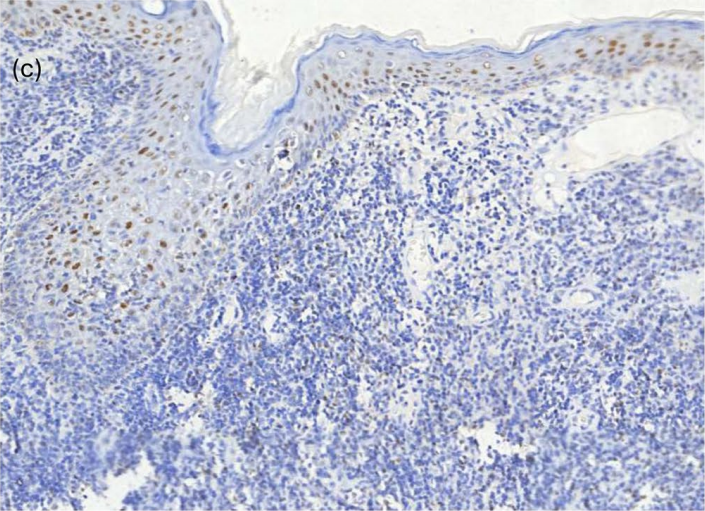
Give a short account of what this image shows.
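This is skin with a stratified squamous epithelium across the top and a dense lymphoid infiltrate filling the tissue beneath it. Within the epithelium, scattered keratinocyte nuclei are stained brown, mostly in the lower and middle layers. Small vessel spaces appear as clear gaps within the infiltrate. The contrast between the brown-dotted epithelium and the blue infiltrate is the main thing to notice.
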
